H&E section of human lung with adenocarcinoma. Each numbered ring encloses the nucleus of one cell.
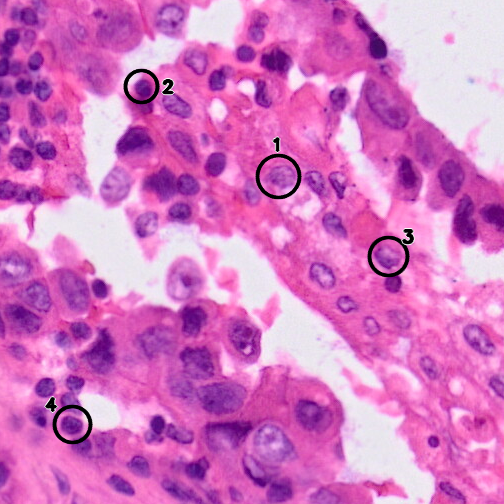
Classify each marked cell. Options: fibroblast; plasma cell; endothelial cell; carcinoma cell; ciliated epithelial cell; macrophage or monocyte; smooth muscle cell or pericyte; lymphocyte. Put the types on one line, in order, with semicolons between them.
macrophage or monocyte; lymphocyte; macrophage or monocyte; lymphocyte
